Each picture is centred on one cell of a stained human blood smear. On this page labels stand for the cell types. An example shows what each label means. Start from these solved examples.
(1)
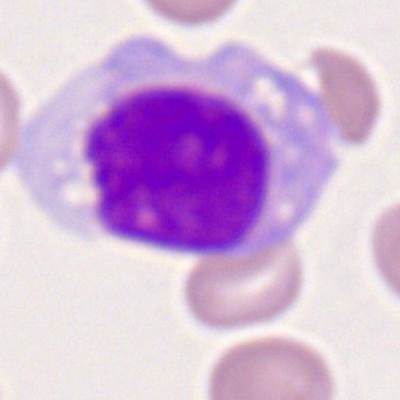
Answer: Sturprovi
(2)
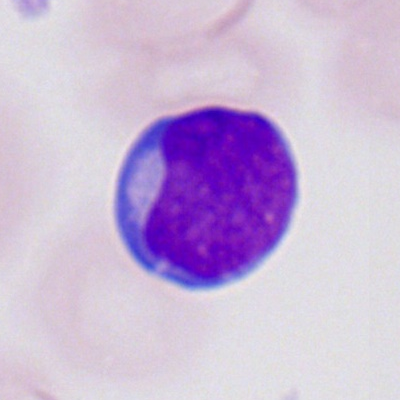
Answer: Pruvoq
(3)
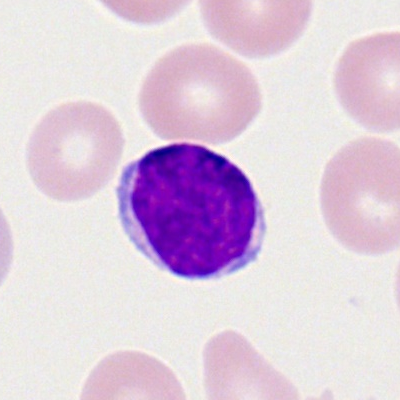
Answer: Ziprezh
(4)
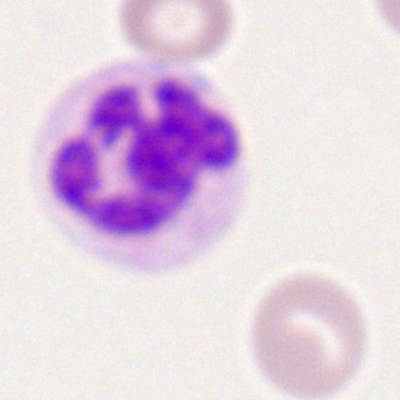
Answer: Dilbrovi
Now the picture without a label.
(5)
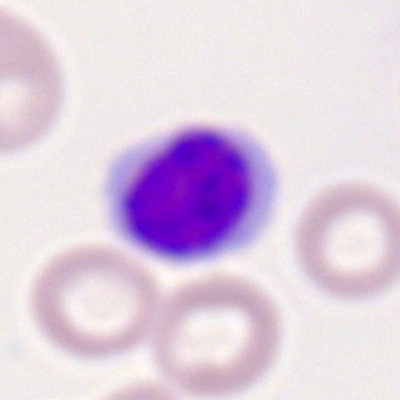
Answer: Ziprezh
